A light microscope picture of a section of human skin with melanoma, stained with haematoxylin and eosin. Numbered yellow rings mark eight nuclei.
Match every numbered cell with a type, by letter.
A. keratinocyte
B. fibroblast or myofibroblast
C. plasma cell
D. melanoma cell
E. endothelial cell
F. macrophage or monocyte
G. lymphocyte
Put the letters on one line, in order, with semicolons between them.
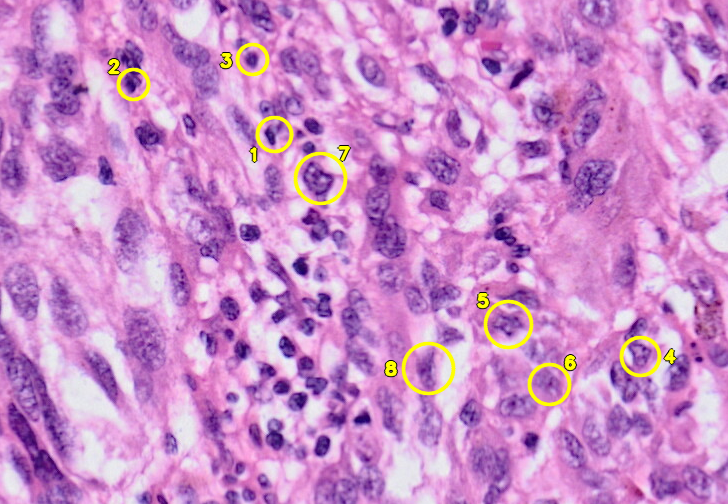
G; G; G; D; D; D; D; D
